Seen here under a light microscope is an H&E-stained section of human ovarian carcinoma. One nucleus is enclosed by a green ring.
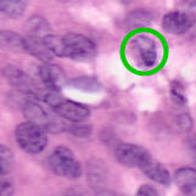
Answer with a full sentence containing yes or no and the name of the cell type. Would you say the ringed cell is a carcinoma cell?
No, the ringed cell is typed as a macrophage or monocyte rather than as a carcinoma cell.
